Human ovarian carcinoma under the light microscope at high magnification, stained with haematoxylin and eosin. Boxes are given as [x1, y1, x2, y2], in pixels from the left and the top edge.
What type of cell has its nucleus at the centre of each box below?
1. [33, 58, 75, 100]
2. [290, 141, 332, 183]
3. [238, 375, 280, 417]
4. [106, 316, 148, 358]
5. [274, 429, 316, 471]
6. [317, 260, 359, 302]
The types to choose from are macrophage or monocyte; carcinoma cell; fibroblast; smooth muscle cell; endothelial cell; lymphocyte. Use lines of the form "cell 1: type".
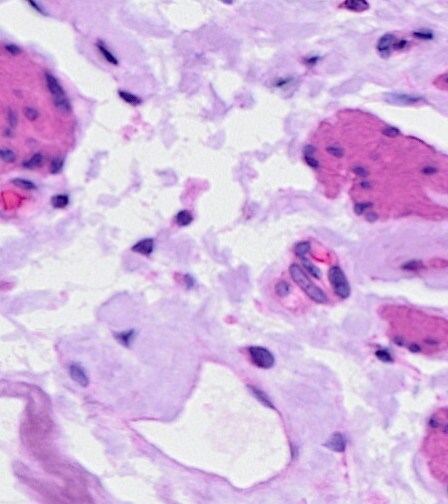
cell 1: smooth muscle cell
cell 2: smooth muscle cell
cell 3: endothelial cell
cell 4: fibroblast
cell 5: endothelial cell
cell 6: endothelial cell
